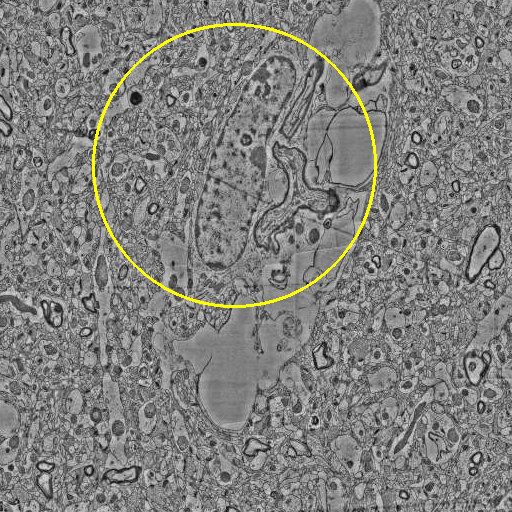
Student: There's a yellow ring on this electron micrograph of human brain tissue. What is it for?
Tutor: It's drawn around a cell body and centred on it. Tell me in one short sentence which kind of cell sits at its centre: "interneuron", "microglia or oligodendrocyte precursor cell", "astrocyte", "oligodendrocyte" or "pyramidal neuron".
The cell at the centre of the ring is a microglial cell or oligodendrocyte precursor cell.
